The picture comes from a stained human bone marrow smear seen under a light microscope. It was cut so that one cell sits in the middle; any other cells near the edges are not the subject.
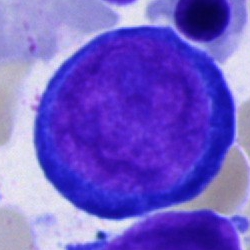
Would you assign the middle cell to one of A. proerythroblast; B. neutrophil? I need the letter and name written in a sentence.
Option A gives the correct identity of the central cell, namely a proerythroblast.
